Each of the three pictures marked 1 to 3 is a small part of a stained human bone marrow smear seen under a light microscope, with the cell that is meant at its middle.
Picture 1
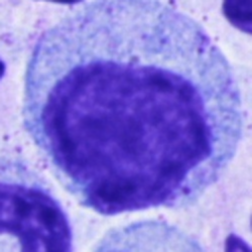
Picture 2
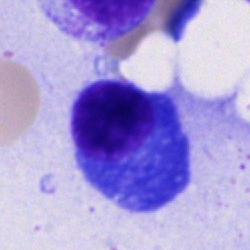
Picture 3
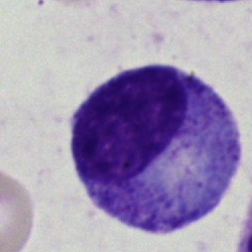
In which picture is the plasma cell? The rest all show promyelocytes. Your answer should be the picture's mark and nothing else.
2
